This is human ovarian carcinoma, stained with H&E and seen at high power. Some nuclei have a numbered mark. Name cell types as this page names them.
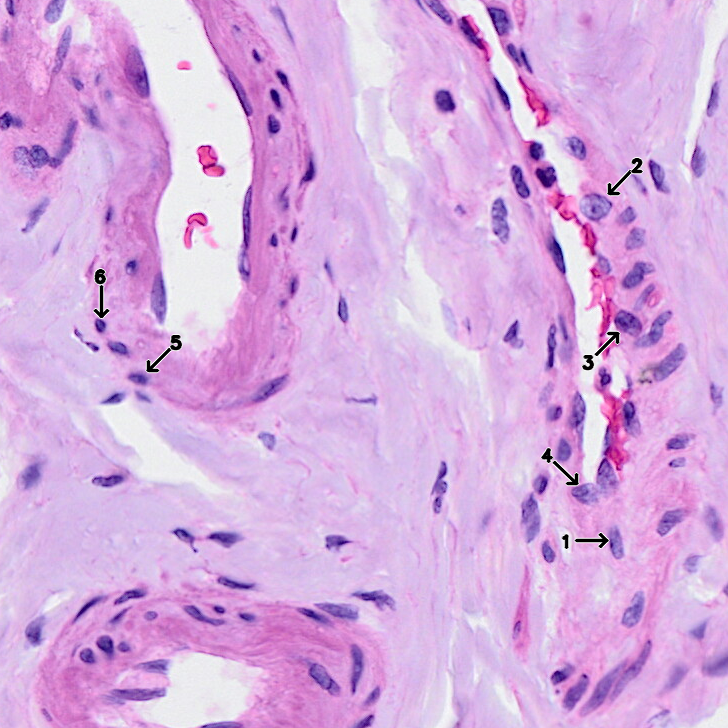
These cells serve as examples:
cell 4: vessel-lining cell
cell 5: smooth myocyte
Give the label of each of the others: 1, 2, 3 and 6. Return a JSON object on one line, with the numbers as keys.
{"1": "smooth myocyte", "2": "vessel-lining cell", "3": "vessel-lining cell", "6": "smooth myocyte"}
